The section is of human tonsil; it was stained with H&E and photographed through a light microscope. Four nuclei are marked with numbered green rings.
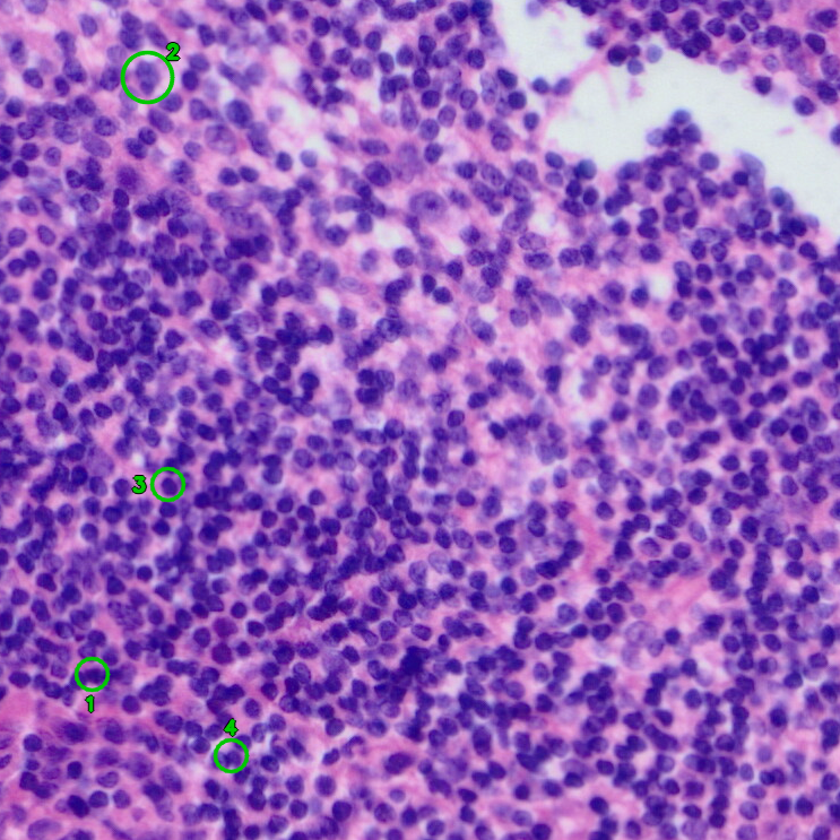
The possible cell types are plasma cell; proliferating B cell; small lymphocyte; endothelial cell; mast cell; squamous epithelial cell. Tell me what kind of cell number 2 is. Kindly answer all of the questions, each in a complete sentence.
The marked cell bearing number 2 is a proliferating B cell.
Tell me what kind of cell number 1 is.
Among the marked cells, number 1 is a small lymphocyte.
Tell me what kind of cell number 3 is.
Within this field of view, the cell labelled 3 is a small lymphocyte.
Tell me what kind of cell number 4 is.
The correct label for cell 4 is a small lymphocyte.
